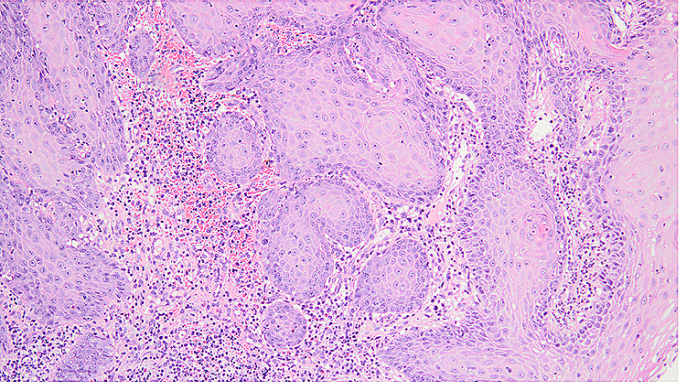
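The epithelial cells have plentiful pink cytoplasm and become flatter and more keratinised toward the centres of the nests. Between the epithelial masses lies loose stroma with scattered inflammatory cells and extravasated red blood cells. The cells themselves look fairly orderly despite the irregular downgrowth, the picture of a reactive pseudoepitheliomatous hyperplasia.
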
